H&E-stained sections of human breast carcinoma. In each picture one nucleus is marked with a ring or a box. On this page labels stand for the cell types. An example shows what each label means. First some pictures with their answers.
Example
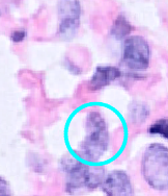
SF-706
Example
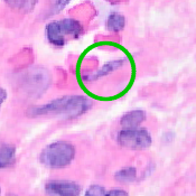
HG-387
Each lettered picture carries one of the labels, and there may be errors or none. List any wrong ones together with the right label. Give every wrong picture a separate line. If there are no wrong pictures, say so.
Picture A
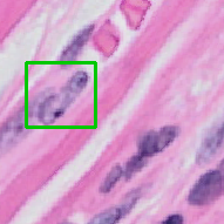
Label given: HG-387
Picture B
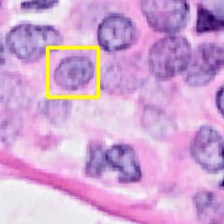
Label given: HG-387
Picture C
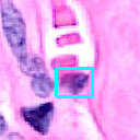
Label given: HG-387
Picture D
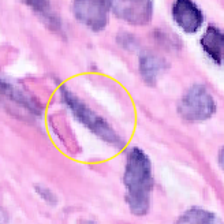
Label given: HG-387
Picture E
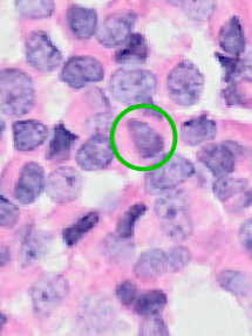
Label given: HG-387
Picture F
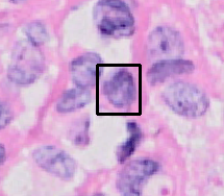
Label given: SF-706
B: not HG-387 but SF-706
E: not HG-387 but SF-706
